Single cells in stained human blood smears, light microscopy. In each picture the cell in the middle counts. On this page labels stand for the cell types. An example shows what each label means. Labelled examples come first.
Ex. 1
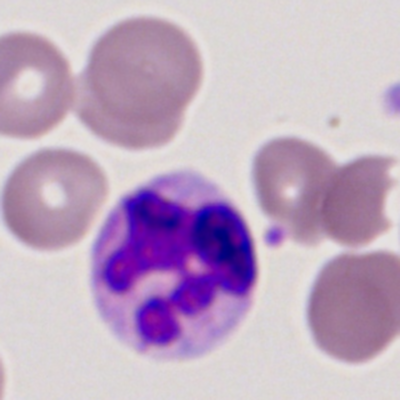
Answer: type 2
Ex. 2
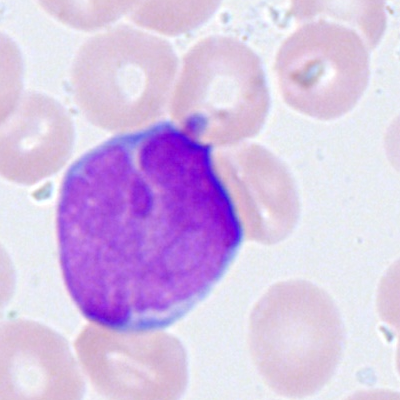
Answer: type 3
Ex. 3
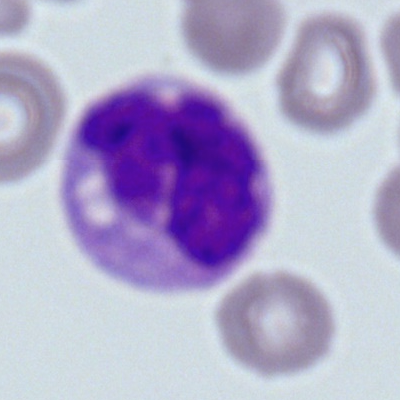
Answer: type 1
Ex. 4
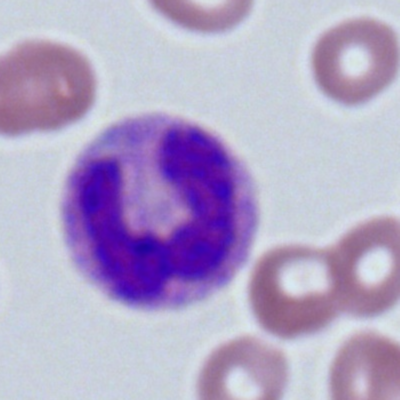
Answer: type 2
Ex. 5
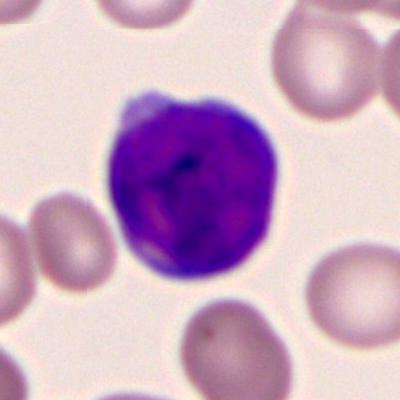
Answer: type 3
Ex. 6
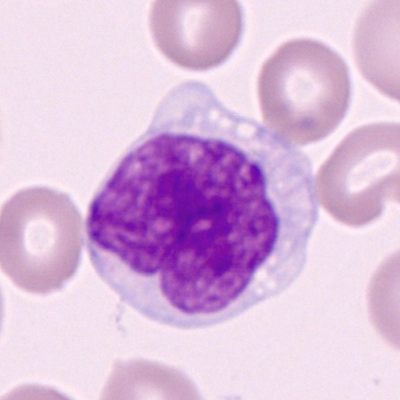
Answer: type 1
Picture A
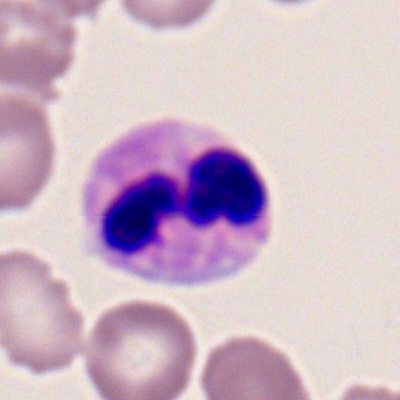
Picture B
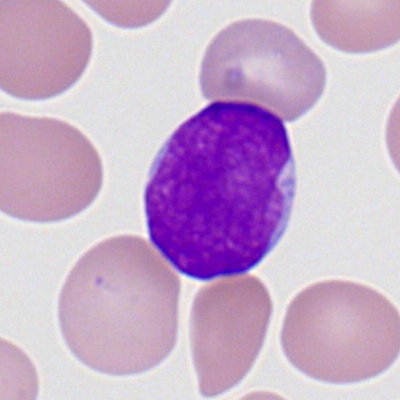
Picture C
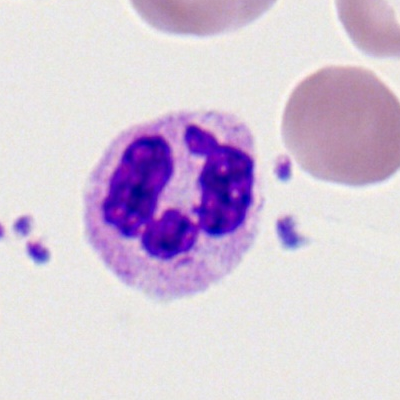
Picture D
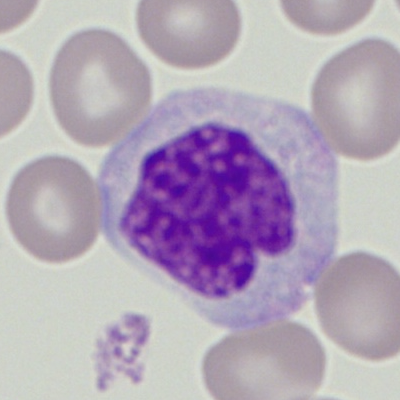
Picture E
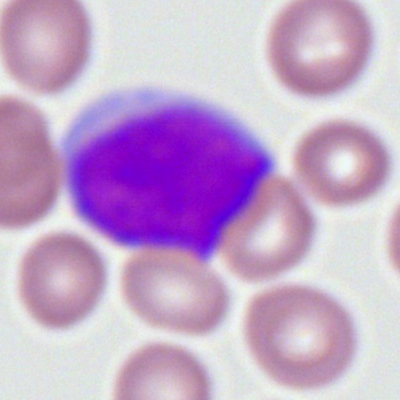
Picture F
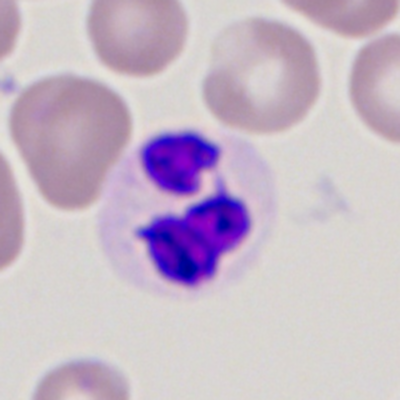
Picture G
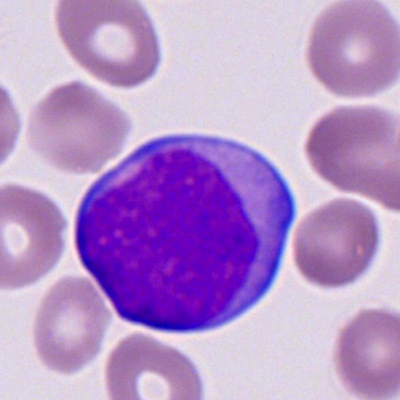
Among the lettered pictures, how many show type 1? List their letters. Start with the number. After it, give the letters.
Count: 1 (D)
